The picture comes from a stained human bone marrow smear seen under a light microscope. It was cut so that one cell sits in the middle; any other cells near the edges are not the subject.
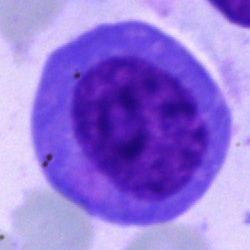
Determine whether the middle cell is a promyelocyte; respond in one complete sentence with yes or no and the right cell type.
No, the centre cell is not a promyelocyte but a blast.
